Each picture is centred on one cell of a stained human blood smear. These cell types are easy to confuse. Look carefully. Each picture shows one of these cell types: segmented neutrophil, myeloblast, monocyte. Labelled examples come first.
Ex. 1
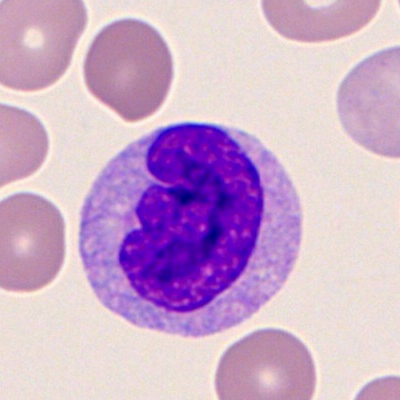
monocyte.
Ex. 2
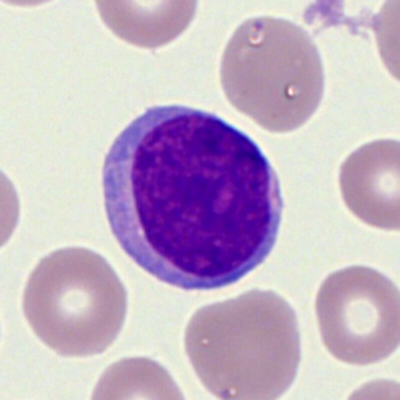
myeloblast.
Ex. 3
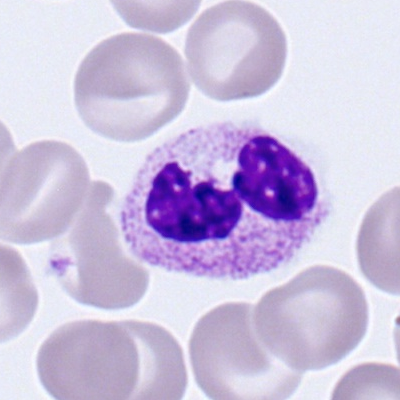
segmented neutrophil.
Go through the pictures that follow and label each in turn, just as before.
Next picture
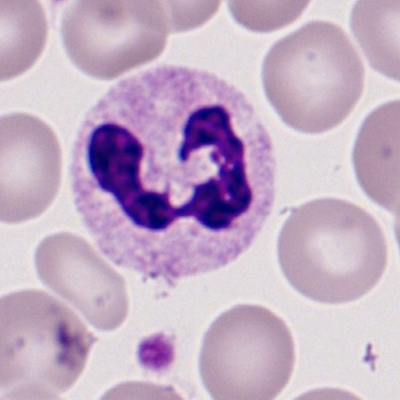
segmented neutrophil.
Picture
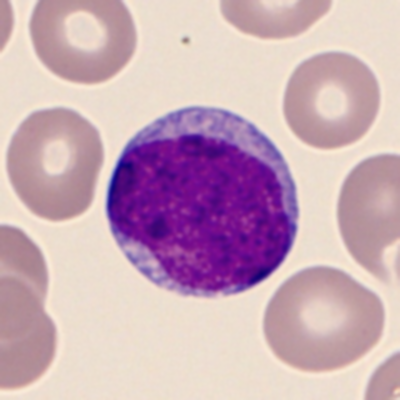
myeloblast.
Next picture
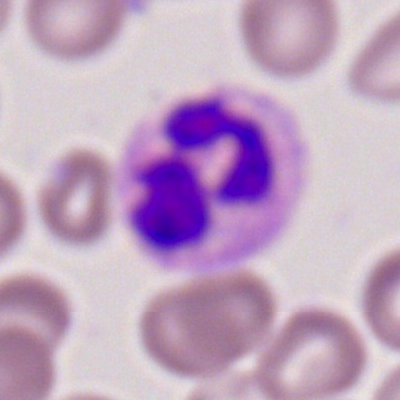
segmented neutrophil.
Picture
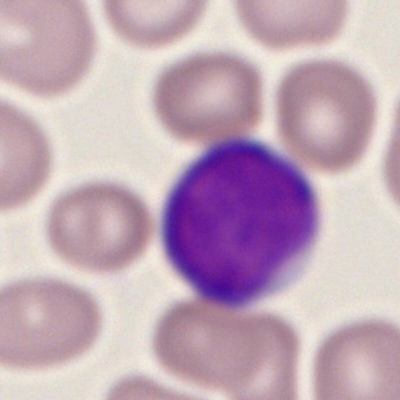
myeloblast.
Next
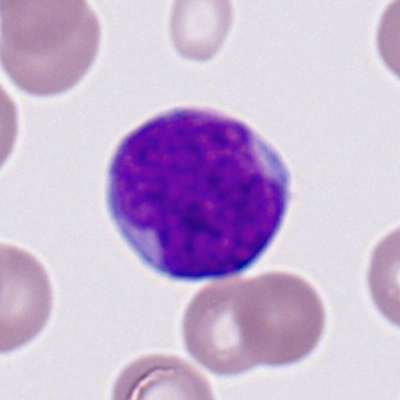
myeloblast.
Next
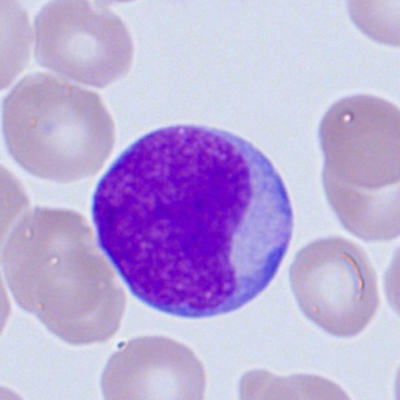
myeloblast.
